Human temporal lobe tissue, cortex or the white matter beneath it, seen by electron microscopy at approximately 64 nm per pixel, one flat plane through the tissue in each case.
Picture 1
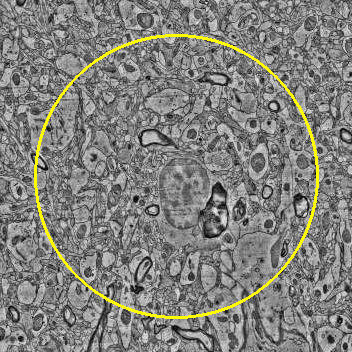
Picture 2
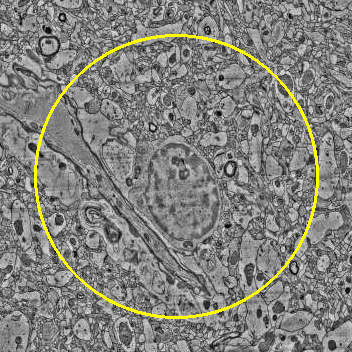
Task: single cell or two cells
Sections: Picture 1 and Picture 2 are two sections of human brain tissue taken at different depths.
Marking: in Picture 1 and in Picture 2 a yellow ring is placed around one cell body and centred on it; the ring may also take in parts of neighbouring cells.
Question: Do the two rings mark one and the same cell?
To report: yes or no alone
no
